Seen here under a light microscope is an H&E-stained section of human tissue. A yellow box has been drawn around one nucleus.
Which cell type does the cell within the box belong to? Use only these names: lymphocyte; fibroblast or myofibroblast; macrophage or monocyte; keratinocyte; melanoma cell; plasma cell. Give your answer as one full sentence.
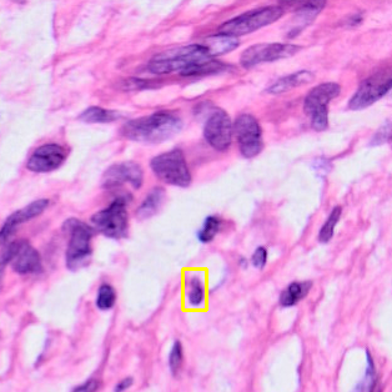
In cellular terms, the cell within the box is a lymphocyte.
